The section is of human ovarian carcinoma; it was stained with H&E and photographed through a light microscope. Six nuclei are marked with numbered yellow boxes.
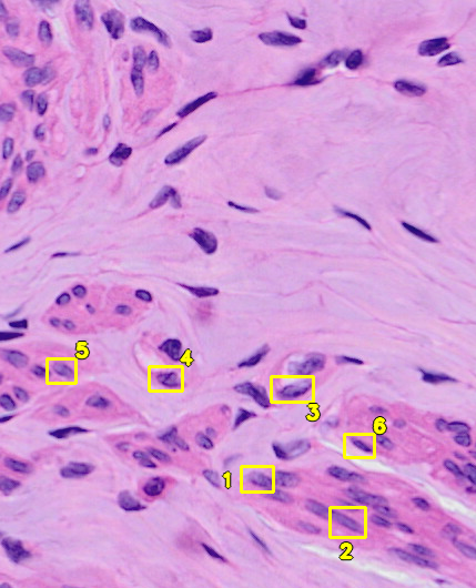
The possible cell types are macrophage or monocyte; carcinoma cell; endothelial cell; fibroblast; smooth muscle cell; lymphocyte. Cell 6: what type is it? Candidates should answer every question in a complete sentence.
In this section, number 6 marks a smooth muscle cell.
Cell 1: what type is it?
The cell identified by number 1 is a smooth muscle cell.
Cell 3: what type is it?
The cell indicated by marker 3 is an endothelial cell in this section.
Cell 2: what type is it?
The cell pointed out by number 2 is a smooth muscle cell.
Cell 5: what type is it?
The cell indicated by marker 5 is a smooth muscle cell in this section.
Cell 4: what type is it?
The cell indicated with the number 4 is classed as an endothelial cell.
